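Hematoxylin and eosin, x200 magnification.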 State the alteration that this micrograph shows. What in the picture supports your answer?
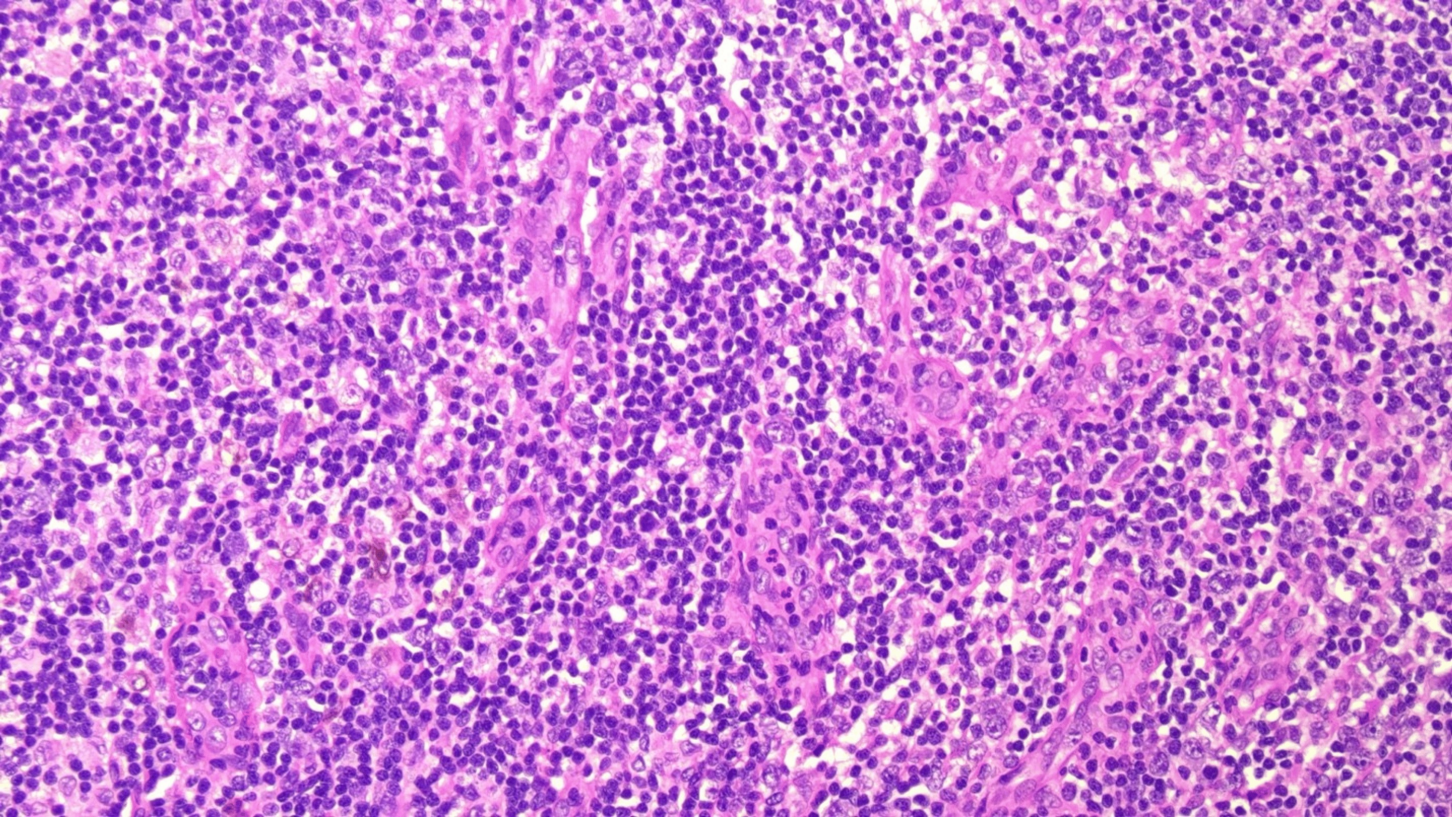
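Prominent vascular proliferation. Many small vessels with pink walls are scattered across the field. The vessels are lined by plump cells with large oval pale nuclei. The vessels lie among sheets of small dark round cells.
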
